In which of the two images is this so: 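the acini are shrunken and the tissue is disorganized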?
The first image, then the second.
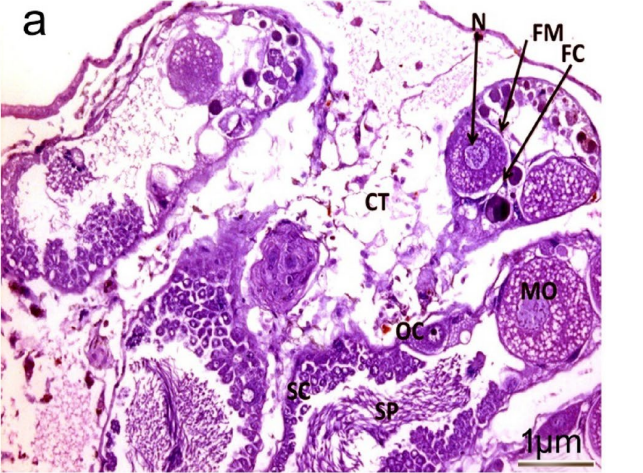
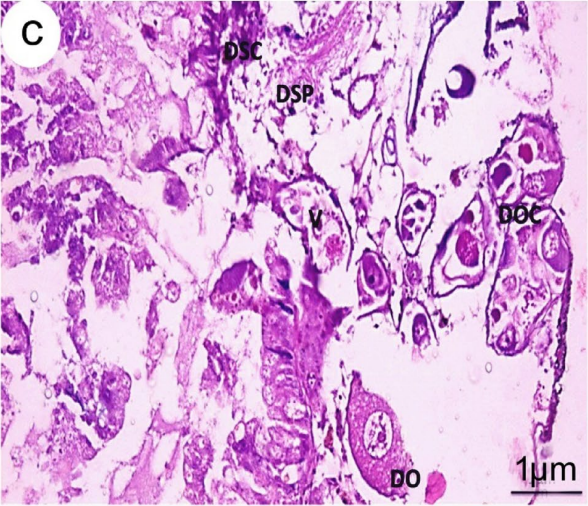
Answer: the second image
